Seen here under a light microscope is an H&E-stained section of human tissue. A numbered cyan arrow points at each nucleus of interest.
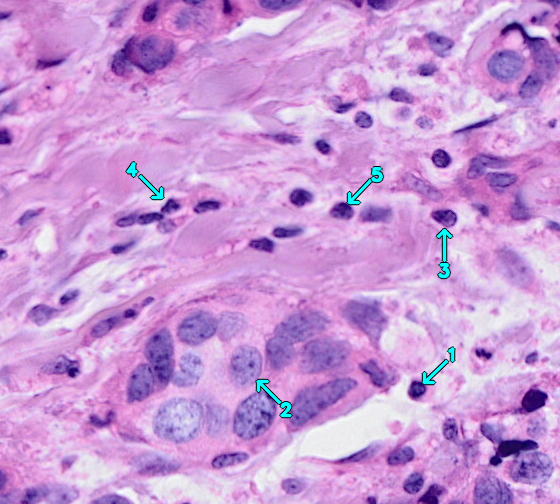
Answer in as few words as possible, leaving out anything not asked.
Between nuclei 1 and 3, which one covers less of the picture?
1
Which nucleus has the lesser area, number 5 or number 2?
5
